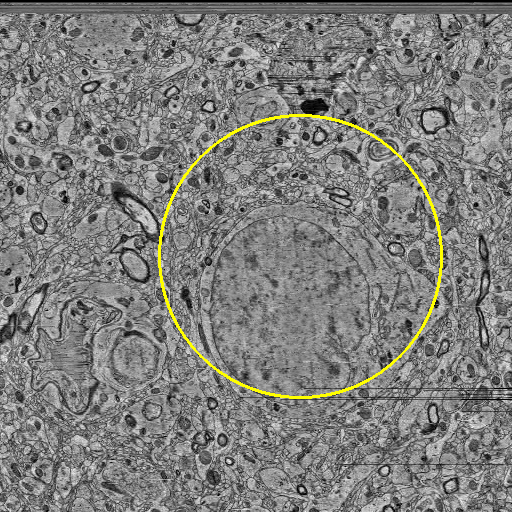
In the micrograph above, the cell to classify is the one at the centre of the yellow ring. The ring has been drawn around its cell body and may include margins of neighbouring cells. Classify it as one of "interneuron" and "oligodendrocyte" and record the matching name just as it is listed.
interneuron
